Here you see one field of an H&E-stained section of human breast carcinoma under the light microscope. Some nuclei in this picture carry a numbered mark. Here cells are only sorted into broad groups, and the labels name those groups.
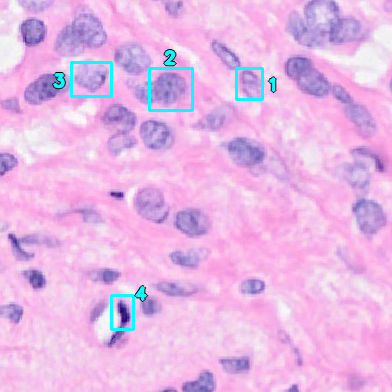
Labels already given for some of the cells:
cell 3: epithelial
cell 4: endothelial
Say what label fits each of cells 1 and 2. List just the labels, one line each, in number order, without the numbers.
endothelial
epithelial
